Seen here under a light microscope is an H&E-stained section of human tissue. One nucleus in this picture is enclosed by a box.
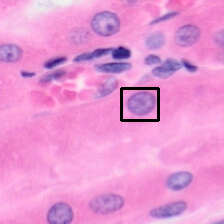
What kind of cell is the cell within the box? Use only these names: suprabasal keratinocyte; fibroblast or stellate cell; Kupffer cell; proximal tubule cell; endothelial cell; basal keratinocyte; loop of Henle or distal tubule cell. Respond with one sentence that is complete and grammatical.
In short, the cell within the box on this section is a proximal tubule cell.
